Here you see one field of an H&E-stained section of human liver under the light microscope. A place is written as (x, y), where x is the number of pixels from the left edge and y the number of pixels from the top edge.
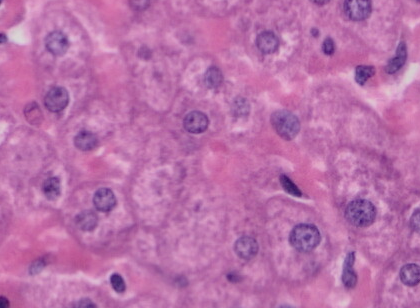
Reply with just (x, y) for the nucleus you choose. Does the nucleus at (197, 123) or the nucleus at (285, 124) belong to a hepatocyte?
(197, 123)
